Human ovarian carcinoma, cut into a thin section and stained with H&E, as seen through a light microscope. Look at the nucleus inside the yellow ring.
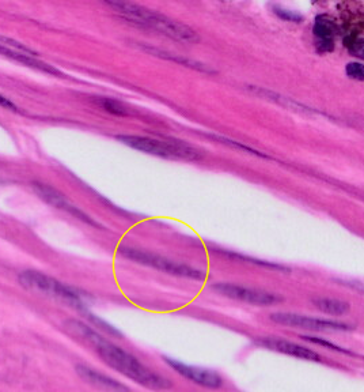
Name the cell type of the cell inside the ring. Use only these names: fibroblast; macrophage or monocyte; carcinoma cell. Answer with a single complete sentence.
Cytologically, the cell inside the ring is to be regarded as a fibroblast.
